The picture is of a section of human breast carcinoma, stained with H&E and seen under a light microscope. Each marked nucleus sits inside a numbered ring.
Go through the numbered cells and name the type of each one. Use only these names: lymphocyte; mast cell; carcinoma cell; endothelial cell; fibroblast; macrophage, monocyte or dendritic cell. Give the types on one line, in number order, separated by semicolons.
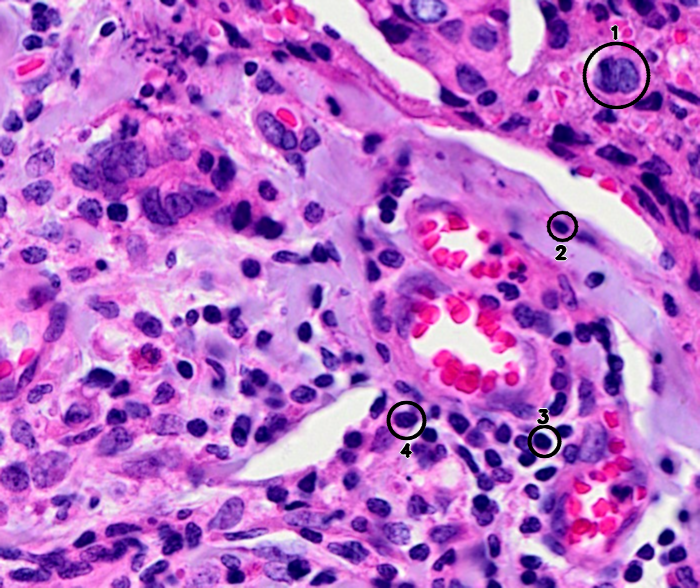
carcinoma cell; mast cell; lymphocyte; lymphocyte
